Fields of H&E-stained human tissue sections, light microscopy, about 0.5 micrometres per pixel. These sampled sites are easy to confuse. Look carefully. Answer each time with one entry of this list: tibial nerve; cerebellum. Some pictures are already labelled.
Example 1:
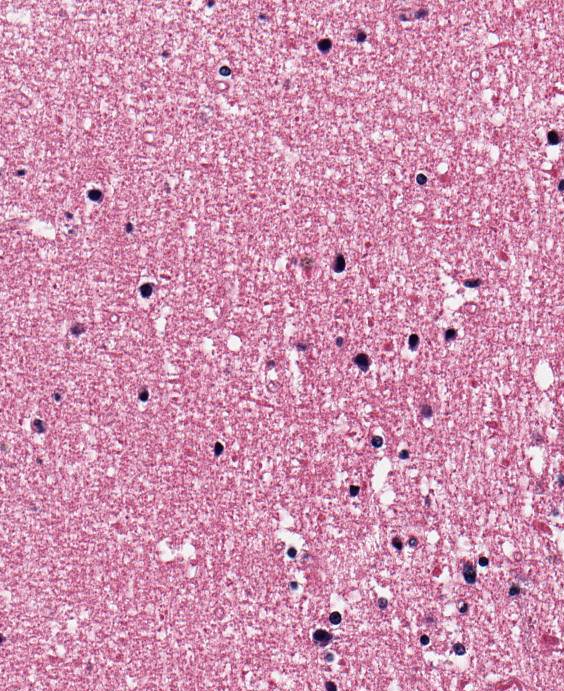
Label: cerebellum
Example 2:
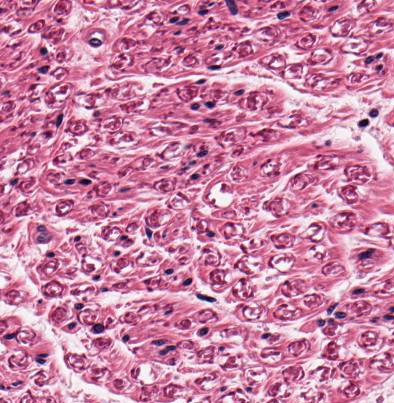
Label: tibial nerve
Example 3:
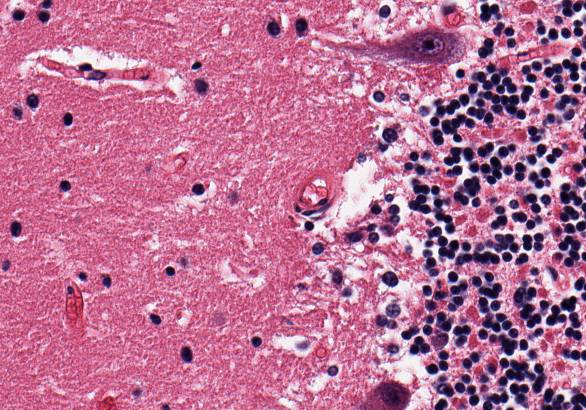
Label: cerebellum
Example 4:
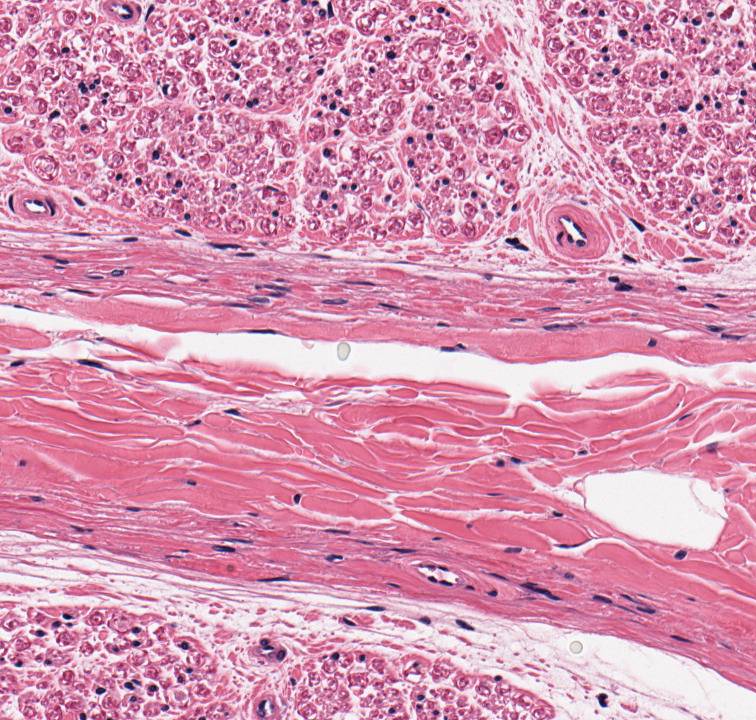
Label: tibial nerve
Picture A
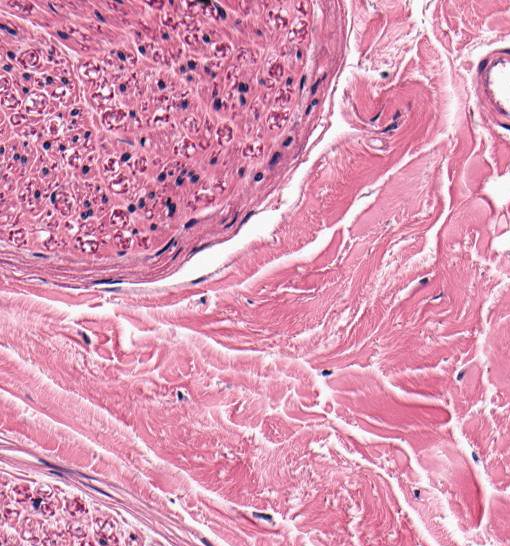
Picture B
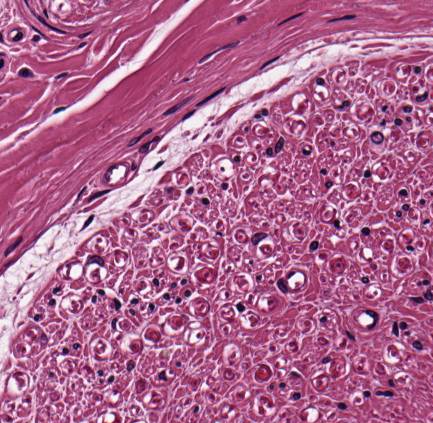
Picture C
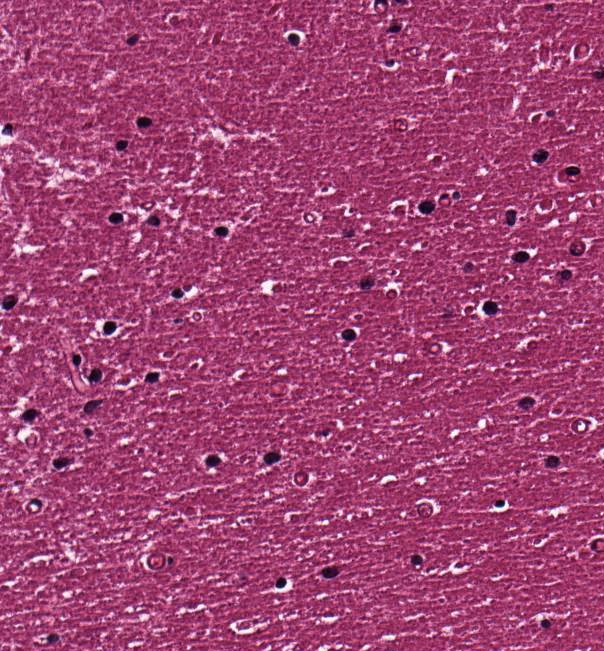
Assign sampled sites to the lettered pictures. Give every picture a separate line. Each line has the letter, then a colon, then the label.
A: tibial nerve
B: tibial nerve
C: cerebellum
